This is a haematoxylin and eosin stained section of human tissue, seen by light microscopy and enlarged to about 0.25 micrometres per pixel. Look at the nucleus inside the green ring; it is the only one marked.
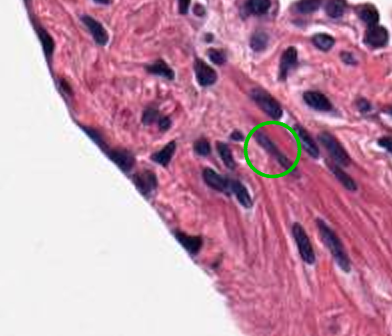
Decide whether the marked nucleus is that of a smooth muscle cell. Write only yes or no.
yes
